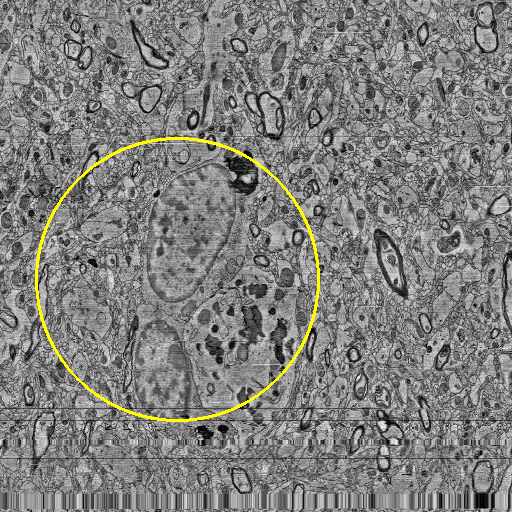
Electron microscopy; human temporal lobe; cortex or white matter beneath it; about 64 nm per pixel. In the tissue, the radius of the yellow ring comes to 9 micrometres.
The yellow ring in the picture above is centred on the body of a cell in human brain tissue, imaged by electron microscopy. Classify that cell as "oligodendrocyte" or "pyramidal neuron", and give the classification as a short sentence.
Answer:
The cell in the middle of the ring is an oligodendrocyte.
